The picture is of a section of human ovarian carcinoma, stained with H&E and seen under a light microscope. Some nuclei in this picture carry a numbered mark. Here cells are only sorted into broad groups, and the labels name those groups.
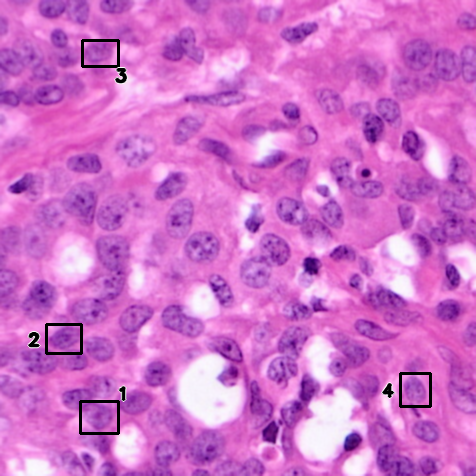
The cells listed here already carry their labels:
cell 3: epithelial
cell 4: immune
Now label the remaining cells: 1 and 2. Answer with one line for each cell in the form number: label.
1: epithelial
2: epithelial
